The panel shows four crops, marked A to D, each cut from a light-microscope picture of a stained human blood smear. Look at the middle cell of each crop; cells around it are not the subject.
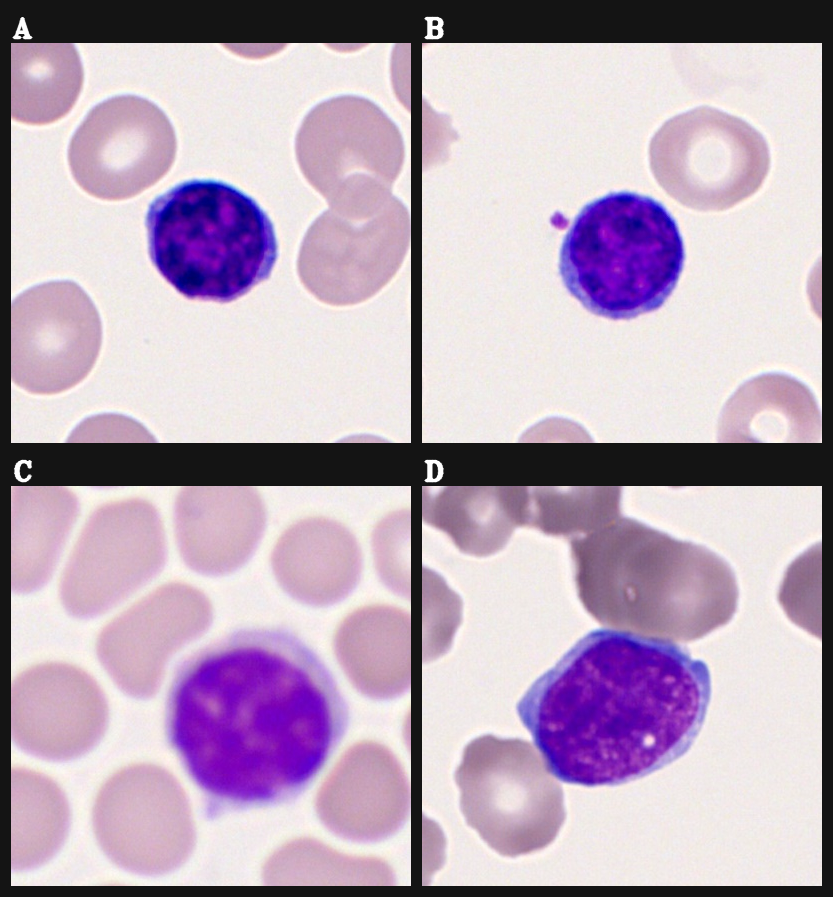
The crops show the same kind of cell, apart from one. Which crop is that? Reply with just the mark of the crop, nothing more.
D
